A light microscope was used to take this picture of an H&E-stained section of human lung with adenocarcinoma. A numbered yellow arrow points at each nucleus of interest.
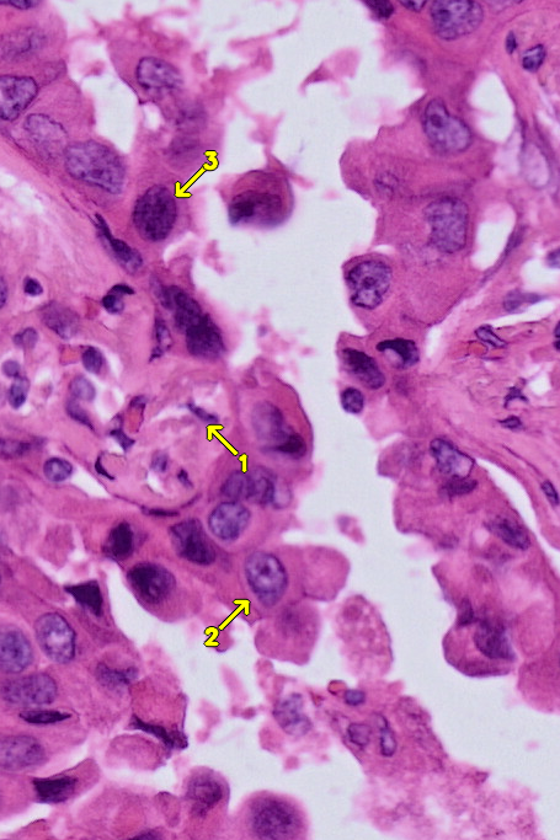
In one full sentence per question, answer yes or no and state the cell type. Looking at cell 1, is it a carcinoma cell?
No, the cell indicated by 1 is a fibroblast instead of a carcinoma cell.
